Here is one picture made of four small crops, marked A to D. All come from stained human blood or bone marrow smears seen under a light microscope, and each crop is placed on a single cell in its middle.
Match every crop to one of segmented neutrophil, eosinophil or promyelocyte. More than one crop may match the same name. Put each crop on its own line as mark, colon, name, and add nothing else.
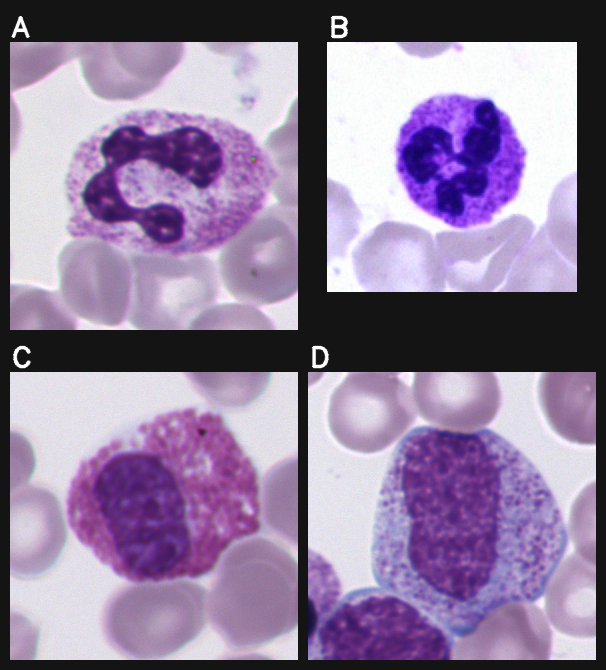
A: segmented neutrophil
B: segmented neutrophil
C: eosinophil
D: promyelocyte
